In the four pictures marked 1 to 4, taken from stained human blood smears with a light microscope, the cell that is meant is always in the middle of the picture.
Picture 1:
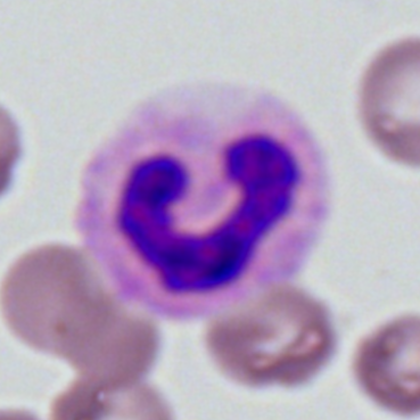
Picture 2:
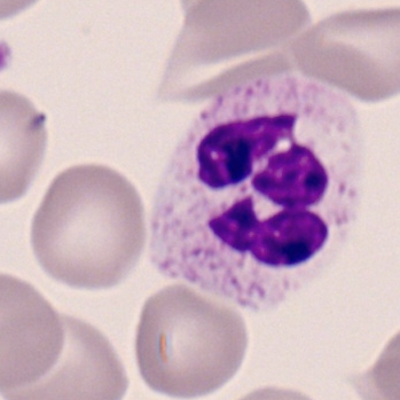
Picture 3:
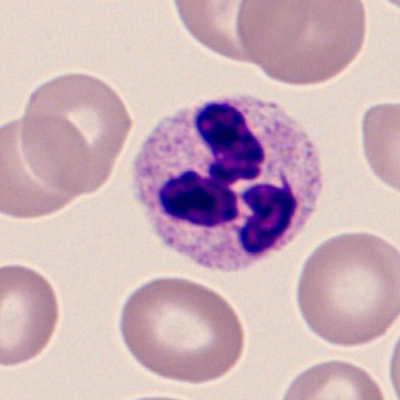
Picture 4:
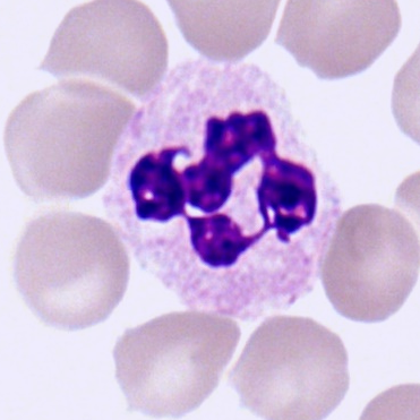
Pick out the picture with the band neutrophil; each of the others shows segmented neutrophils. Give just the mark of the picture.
1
